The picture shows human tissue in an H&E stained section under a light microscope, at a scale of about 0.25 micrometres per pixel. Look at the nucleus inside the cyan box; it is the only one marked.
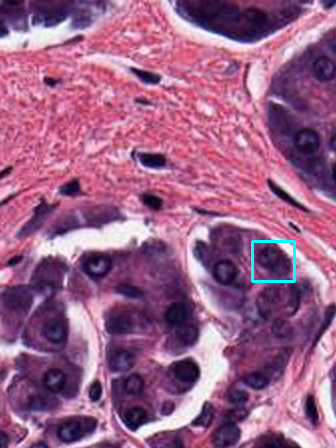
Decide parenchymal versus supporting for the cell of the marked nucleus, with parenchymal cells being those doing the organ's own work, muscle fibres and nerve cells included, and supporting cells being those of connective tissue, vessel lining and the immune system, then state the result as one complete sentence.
The parenchymal cell containing the marked nucleus is a pancreatic acinar cell.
